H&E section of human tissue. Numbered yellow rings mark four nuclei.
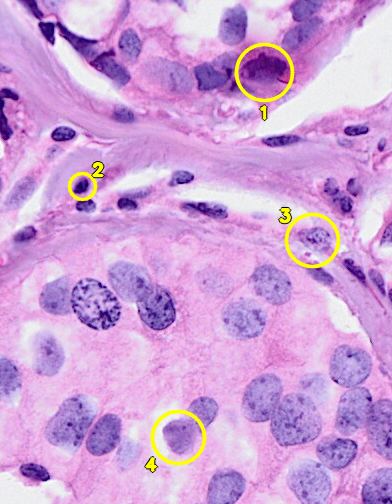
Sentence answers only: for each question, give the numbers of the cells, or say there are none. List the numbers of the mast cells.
Only the cell numbered 2 is a mast cell; none of the others is.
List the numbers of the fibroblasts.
Only the cell carrying number 3 is a fibroblast.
